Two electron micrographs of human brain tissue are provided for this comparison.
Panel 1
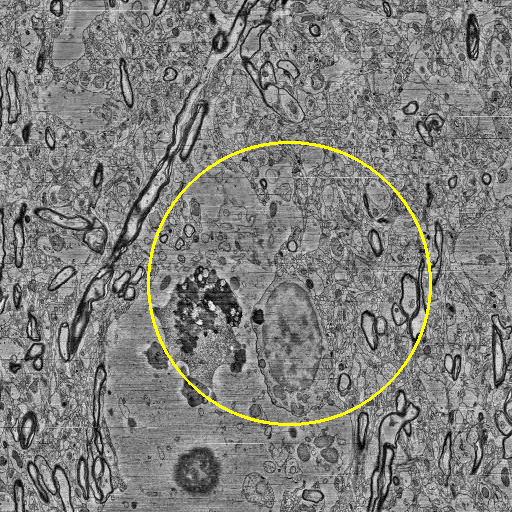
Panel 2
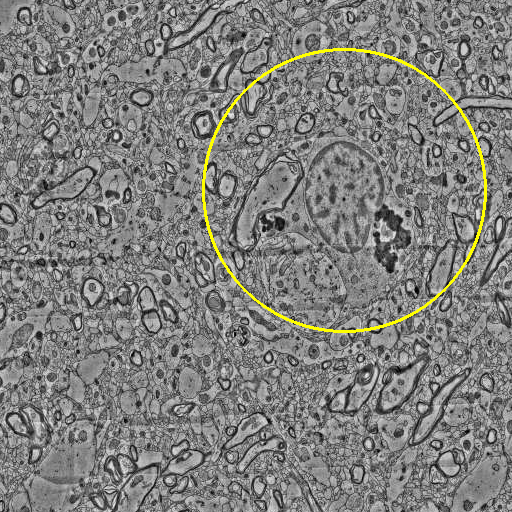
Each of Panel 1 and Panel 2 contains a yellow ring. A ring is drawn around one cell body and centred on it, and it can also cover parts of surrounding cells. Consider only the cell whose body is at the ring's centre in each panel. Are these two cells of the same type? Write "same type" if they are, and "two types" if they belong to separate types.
same type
